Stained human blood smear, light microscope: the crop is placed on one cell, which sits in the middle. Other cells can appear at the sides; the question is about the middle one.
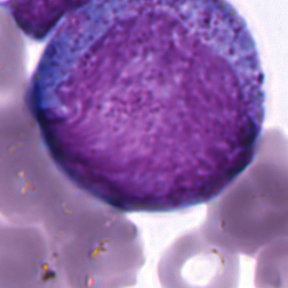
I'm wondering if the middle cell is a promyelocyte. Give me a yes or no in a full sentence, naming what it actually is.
Yes, the cell occupying the middle of the crop is a promyelocyte.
